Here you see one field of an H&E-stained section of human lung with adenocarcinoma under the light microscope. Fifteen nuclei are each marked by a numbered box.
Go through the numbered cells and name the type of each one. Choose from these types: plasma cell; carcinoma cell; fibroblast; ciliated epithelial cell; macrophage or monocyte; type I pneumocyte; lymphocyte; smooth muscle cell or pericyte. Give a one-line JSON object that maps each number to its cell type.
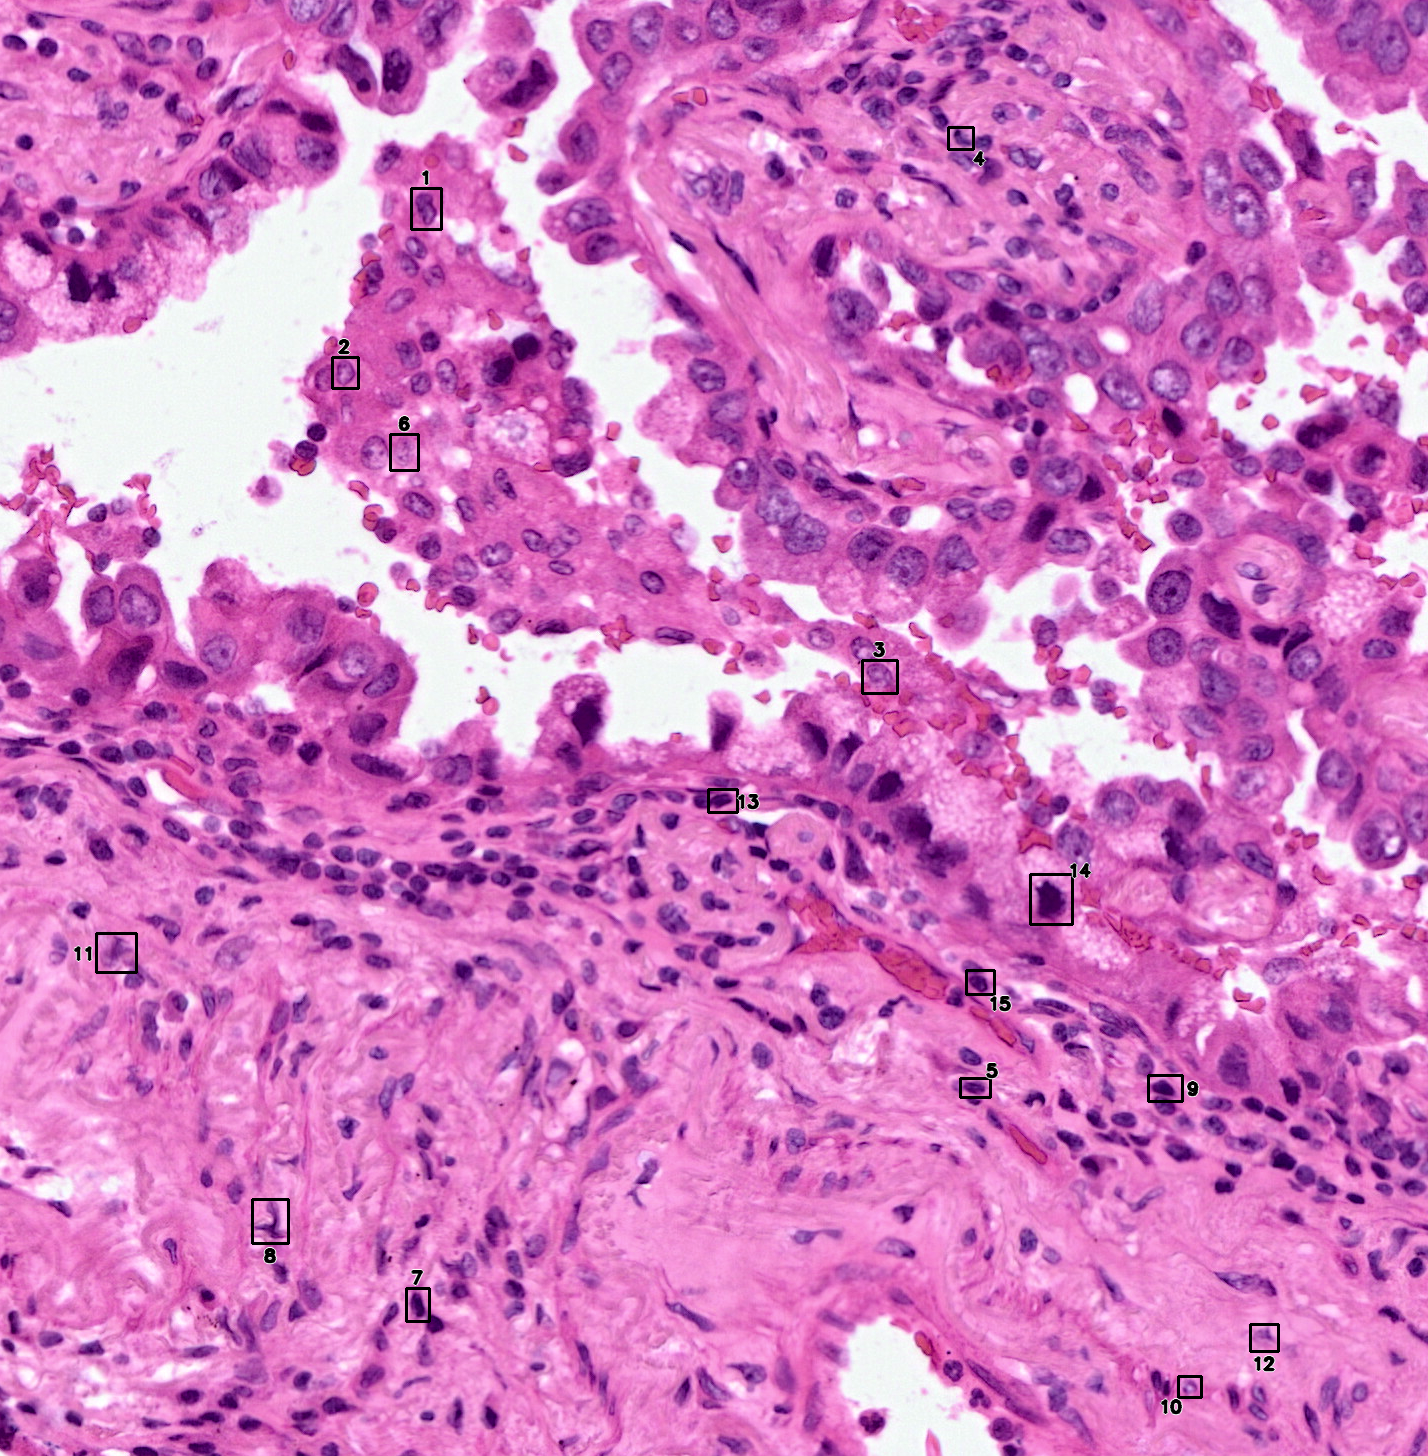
{"1": "macrophage or monocyte", "2": "macrophage or monocyte", "3": "macrophage or monocyte", "4": "lymphocyte", "5": "lymphocyte", "6": "macrophage or monocyte", "7": "plasma cell", "8": "fibroblast", "9": "lymphocyte", "10": "smooth muscle cell or pericyte", "11": "fibroblast", "12": "fibroblast", "13": "lymphocyte", "14": "carcinoma cell", "15": "lymphocyte"}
